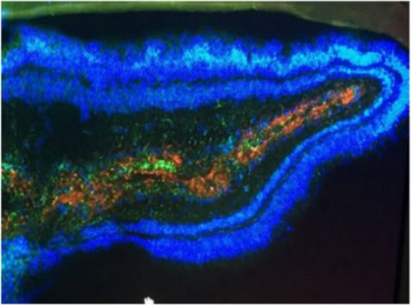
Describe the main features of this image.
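This is a section of retina that has folded back on itself, so its layers run as mirror-image bands above and below a central core and meet in a rounded tip on the right. The outer edges are lined by broad, densely packed bands of blue-stained nuclei, and just inside each lies a thinner, separate blue nuclear band, with a dark, nearly nucleus-free strip between them. Further inward are wider dark zones with few nuclei.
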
